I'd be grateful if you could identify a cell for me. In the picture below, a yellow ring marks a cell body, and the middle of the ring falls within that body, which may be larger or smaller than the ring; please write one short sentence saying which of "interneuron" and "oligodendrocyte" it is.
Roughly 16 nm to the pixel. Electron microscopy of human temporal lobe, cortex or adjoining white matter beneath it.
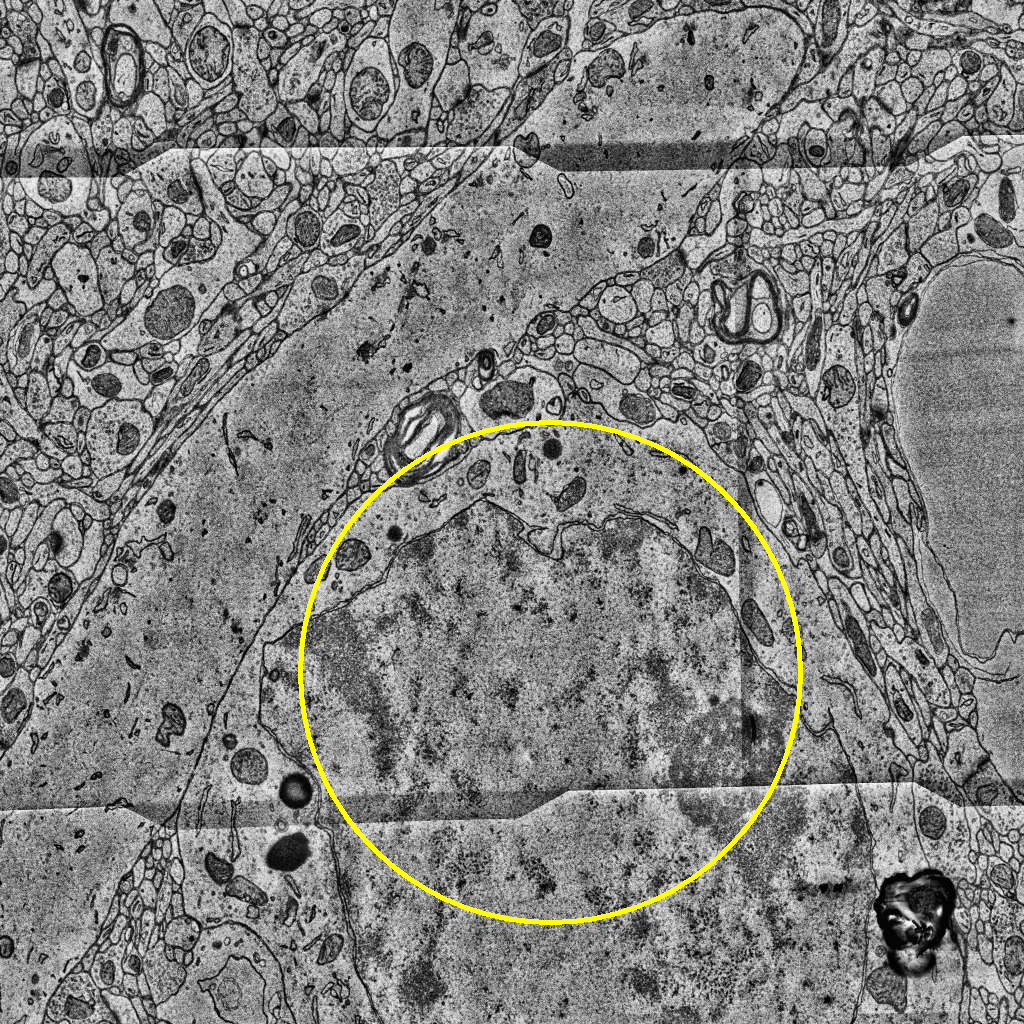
The cell under the ring's centre is an interneuron.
